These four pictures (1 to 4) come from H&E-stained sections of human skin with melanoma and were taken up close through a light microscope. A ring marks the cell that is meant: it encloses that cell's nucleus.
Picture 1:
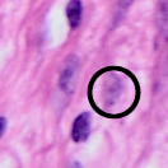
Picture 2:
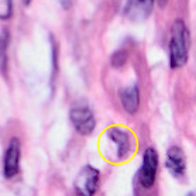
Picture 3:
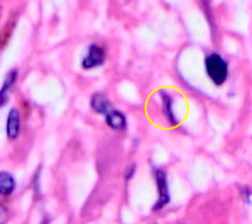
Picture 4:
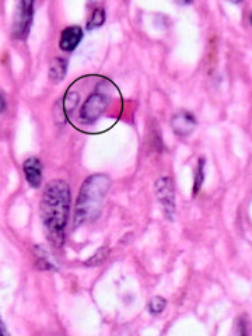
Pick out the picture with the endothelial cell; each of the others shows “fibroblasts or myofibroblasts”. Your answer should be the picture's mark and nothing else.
4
